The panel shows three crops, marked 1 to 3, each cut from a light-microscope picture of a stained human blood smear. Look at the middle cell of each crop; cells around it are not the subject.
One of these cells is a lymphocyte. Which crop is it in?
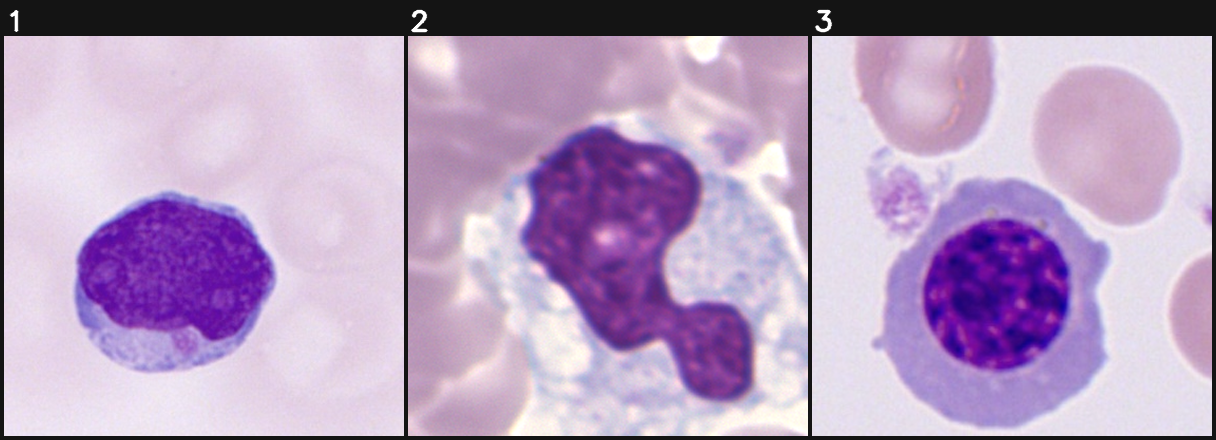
1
